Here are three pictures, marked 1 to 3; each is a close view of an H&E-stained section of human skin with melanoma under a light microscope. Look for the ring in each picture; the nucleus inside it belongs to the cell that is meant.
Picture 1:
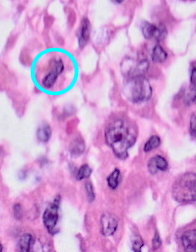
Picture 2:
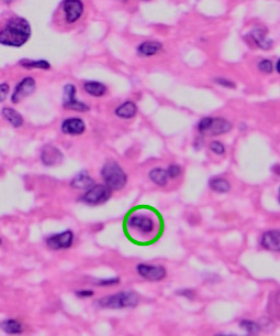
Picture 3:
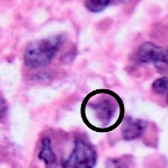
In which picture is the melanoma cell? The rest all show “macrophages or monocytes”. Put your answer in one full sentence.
The picture with the melanoma cell is 3.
